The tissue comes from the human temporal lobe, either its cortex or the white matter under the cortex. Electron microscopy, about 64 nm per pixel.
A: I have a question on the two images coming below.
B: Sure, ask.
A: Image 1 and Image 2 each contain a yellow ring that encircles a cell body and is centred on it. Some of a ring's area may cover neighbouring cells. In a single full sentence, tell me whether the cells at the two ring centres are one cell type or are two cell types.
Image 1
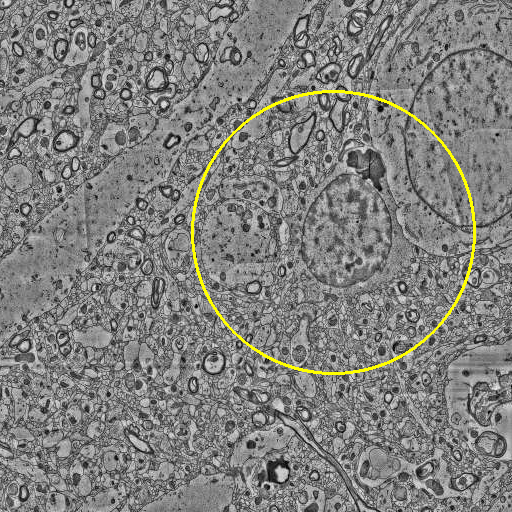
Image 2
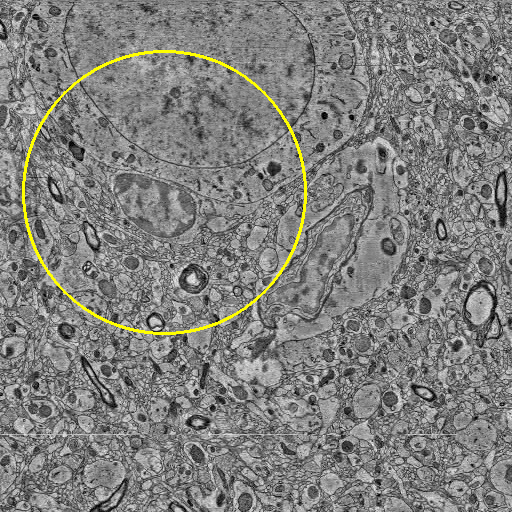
As for the ring-centre cells, the one in Image 1 and the one in Image 2 are two cell types.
